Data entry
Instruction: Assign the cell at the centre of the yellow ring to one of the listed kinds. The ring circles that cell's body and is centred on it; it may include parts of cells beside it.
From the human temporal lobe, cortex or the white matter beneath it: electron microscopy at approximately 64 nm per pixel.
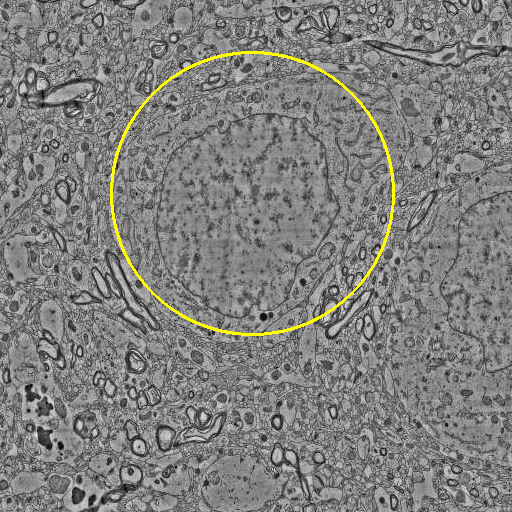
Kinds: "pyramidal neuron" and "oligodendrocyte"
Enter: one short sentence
The centre of the ring falls on a pyramidal neuron.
